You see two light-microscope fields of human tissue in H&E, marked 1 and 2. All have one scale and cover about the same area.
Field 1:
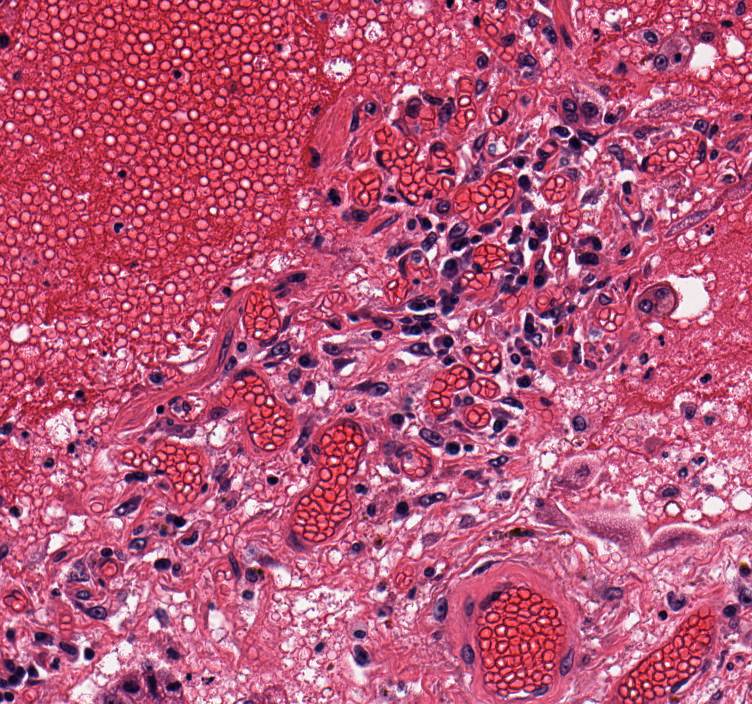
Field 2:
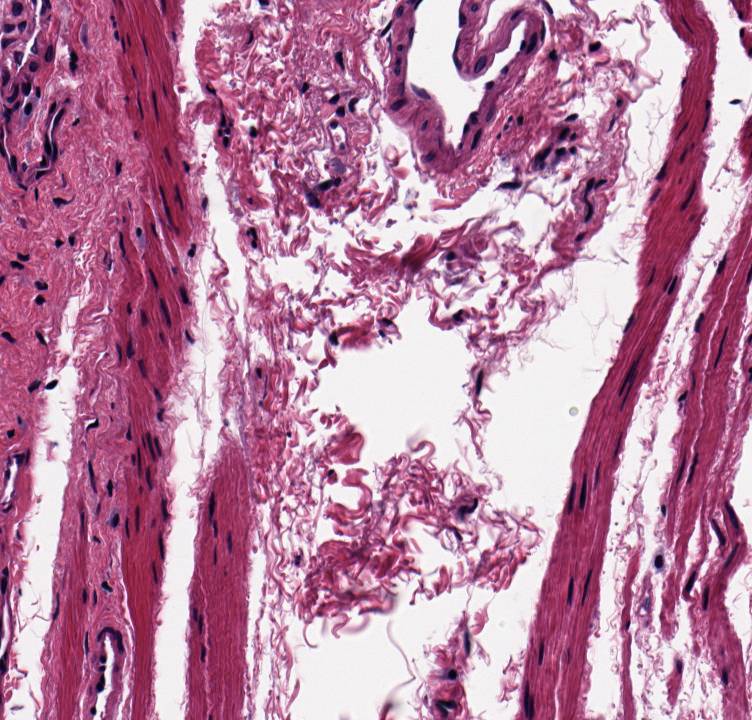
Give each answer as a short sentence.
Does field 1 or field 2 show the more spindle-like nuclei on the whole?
It is field 2 whose nuclei are the more elongated.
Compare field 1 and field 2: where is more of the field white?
It is field 2 in which white space covers the larger part.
